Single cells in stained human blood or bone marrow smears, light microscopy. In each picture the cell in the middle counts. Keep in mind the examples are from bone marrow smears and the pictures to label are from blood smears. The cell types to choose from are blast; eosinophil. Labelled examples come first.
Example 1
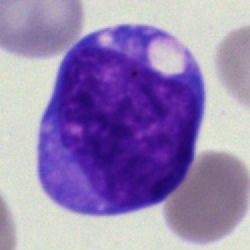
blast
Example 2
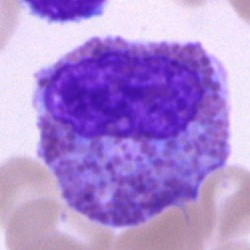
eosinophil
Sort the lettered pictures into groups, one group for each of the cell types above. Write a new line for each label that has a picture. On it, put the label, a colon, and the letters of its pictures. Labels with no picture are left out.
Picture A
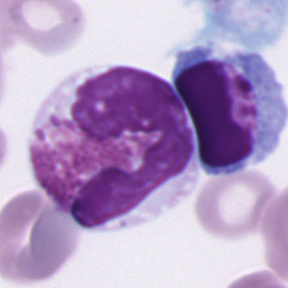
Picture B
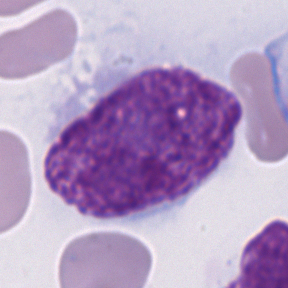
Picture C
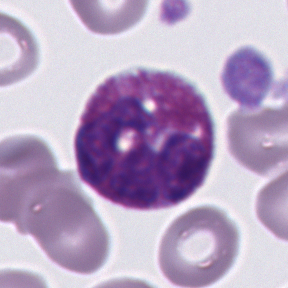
blast: B
eosinophil: A, C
